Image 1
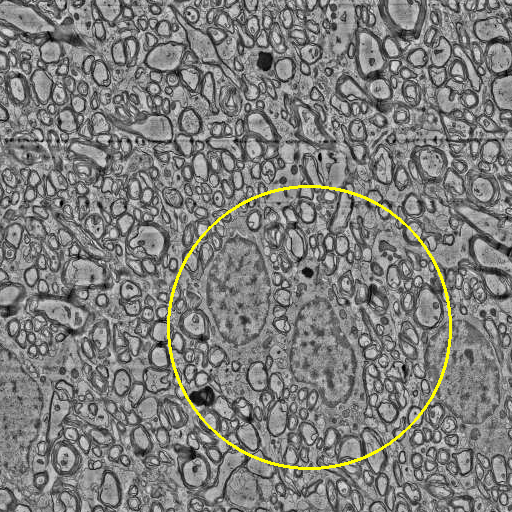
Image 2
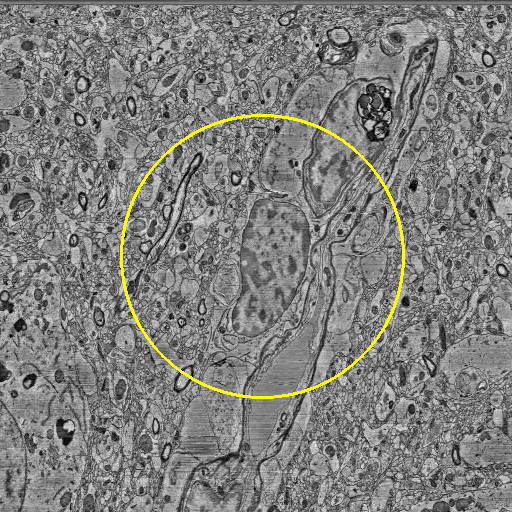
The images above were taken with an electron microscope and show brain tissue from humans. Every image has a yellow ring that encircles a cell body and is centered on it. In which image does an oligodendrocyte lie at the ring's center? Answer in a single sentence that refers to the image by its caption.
In Image 1, the cell at the center of the yellow ring is the correct match.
